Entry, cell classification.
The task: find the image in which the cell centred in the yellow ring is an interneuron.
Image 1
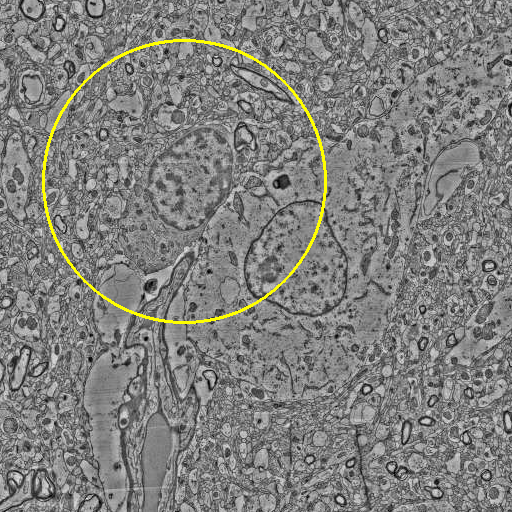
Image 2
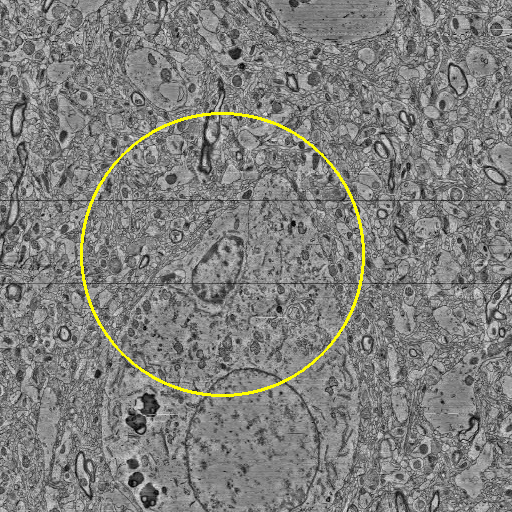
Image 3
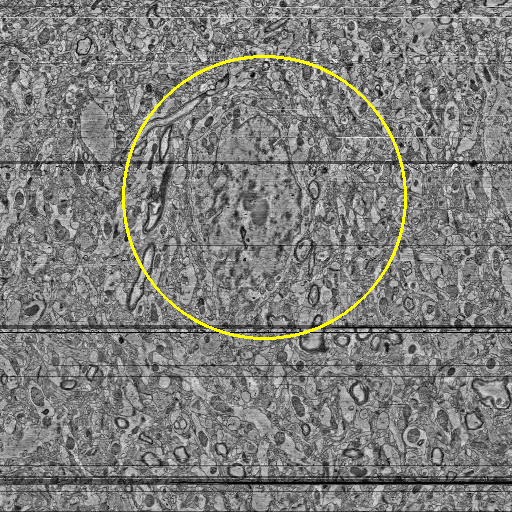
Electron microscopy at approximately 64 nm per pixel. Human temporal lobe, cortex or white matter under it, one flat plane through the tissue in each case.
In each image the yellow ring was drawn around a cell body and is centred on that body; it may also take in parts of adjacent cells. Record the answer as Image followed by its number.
Image 3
